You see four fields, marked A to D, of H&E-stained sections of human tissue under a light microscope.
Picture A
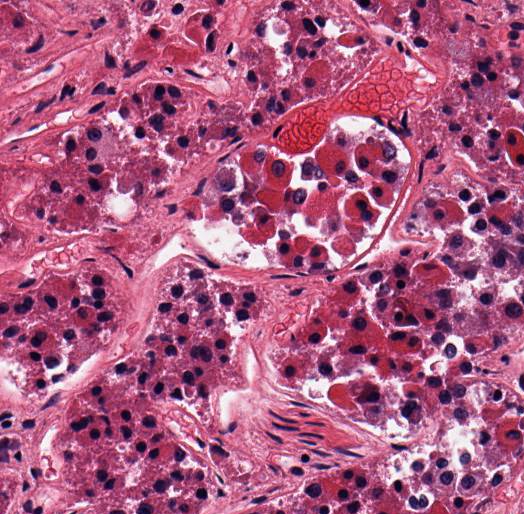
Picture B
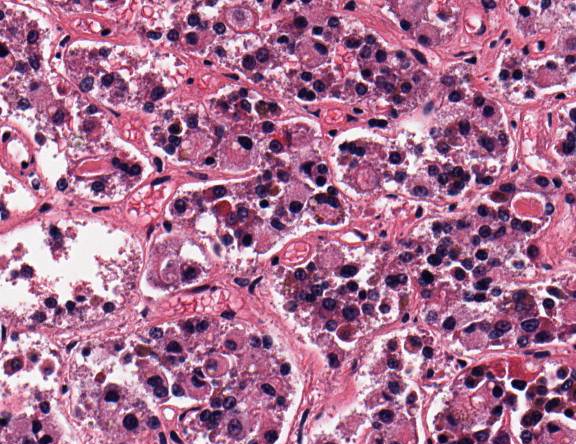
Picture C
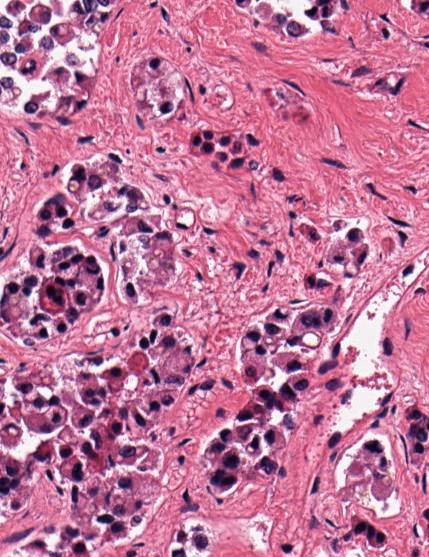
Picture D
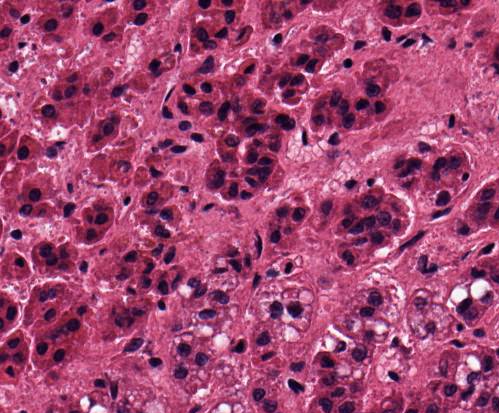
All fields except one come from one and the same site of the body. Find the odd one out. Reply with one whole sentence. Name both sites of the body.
Unlike the rest, which come from the pituitary, picture D comes from the adrenal gland.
